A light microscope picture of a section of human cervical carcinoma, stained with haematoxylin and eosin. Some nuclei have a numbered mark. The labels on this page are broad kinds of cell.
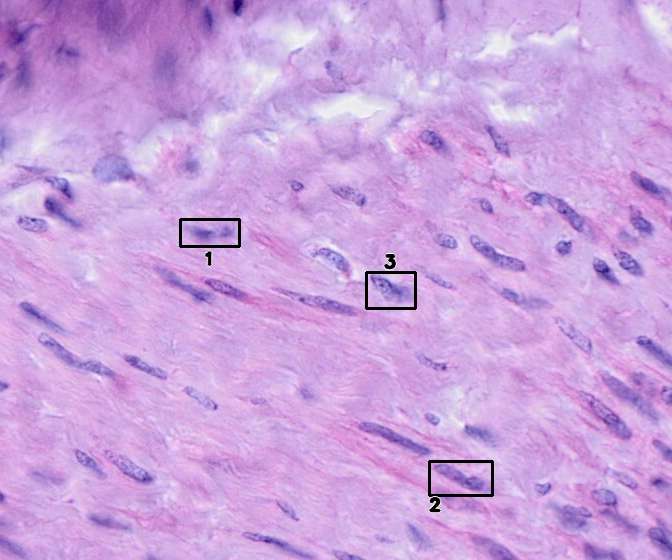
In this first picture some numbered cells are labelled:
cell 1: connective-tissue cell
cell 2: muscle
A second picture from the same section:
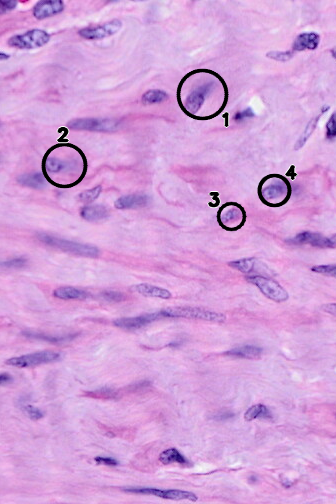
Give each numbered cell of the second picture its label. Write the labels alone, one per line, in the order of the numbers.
connective-tissue cell
muscle
muscle
muscle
